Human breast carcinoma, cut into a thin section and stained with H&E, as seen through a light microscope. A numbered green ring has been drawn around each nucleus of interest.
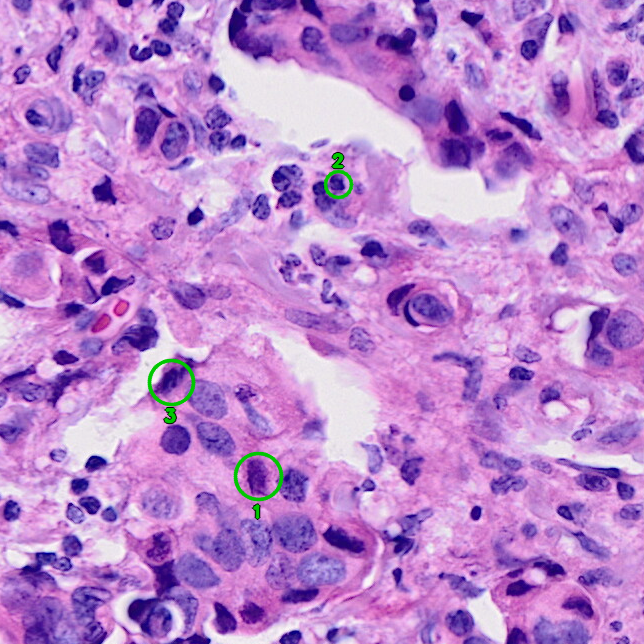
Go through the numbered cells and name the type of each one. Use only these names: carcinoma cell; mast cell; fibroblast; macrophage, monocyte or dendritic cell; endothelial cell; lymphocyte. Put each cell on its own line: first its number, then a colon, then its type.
1: carcinoma cell
2: lymphocyte
3: carcinoma cell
